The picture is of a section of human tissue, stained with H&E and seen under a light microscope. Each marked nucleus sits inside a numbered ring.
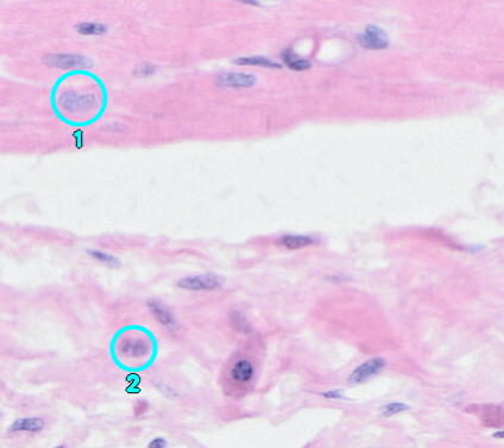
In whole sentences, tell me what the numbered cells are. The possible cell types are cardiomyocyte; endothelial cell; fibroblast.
Cell 1 is a cardiomyocyte and cell 2 is a fibroblast.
